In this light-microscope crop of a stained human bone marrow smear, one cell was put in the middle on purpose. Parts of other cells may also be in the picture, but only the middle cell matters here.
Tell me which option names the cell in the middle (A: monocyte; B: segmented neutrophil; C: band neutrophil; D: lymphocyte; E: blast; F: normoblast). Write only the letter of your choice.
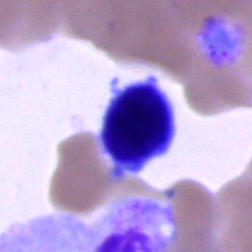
D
